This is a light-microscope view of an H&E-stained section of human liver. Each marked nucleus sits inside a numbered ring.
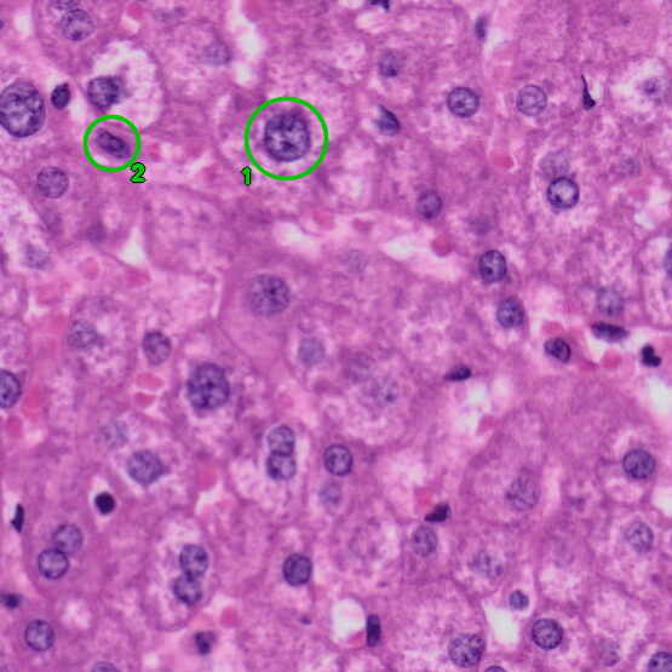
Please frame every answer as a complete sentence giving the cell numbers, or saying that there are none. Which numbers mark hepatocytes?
Cell 1 is a hepatocyte, and it is the only one.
